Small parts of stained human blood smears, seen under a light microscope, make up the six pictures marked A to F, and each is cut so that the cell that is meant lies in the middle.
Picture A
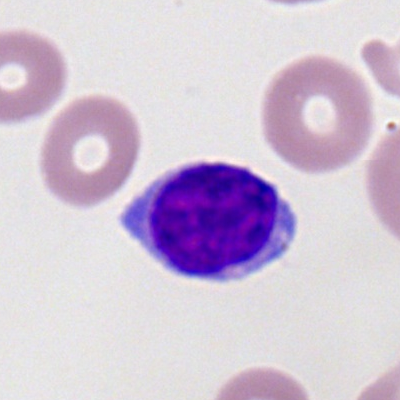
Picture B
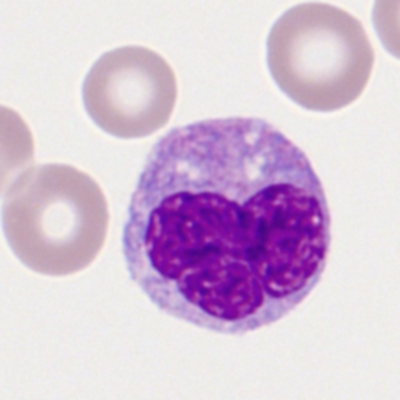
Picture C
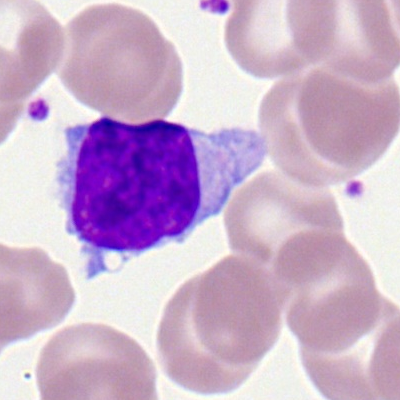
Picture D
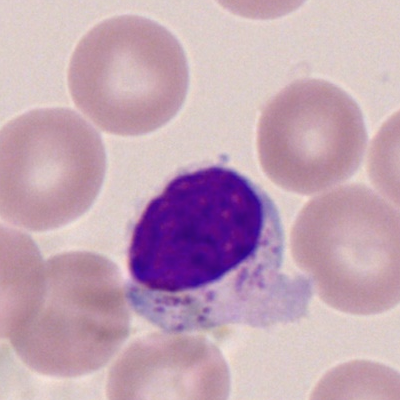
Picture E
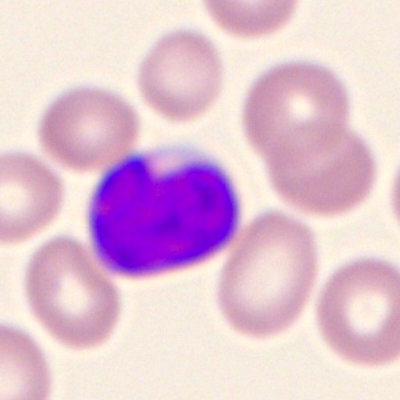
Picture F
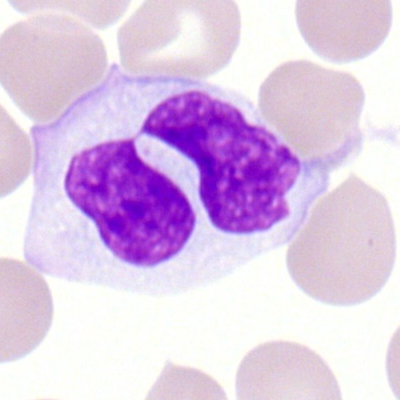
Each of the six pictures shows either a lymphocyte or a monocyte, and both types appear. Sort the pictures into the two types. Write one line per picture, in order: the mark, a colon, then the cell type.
A: lymphocyte
B: monocyte
C: lymphocyte
D: lymphocyte
E: lymphocyte
F: monocyte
